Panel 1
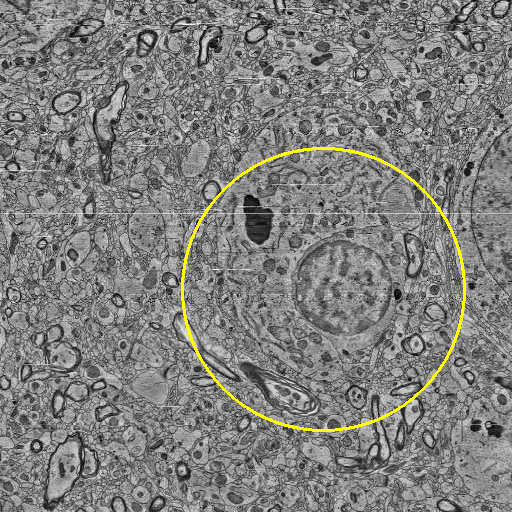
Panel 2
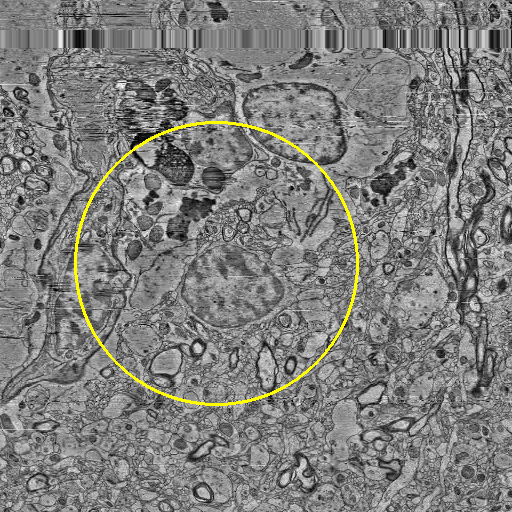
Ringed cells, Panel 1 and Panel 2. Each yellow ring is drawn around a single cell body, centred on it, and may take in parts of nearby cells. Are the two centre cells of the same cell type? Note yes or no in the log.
yes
